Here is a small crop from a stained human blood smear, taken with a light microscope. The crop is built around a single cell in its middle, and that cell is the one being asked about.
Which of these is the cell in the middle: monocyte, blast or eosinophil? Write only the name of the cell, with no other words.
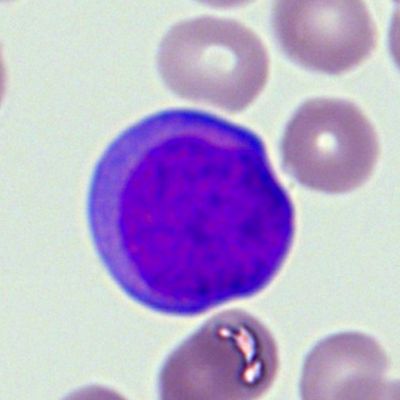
blast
